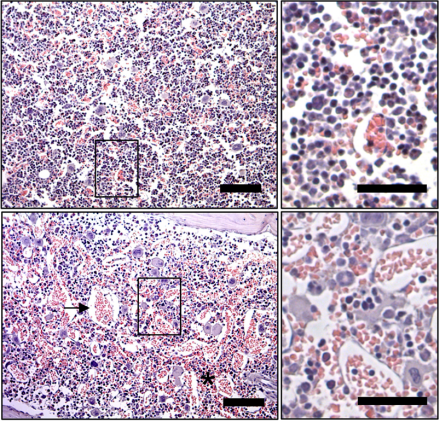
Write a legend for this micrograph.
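These sections show bone marrow tissue packed with haematopoietic cells, whose nuclei stain dark purple, with scattered much larger cells with abundant pale pink cytoplasm. In the upper images the marrow is dense and cellular, with only small vascular spaces holding a few red blood cells. In the lower images, broad spaces filled with pink-red red blood cells run through the tissue, and many red cells also lie spread among the marrow cells, so the tissue looks less densely cellular.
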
